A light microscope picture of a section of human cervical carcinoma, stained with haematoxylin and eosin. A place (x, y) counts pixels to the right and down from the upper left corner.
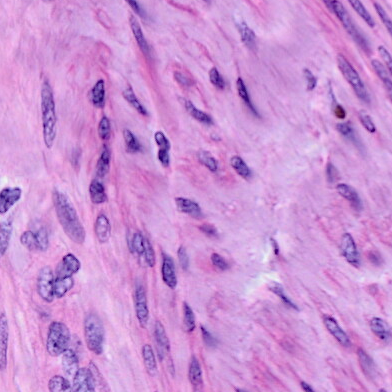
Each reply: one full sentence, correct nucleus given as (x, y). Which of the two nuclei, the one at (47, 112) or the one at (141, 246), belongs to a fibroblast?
The nucleus whose position is (47, 112) belongs to a fibroblast.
